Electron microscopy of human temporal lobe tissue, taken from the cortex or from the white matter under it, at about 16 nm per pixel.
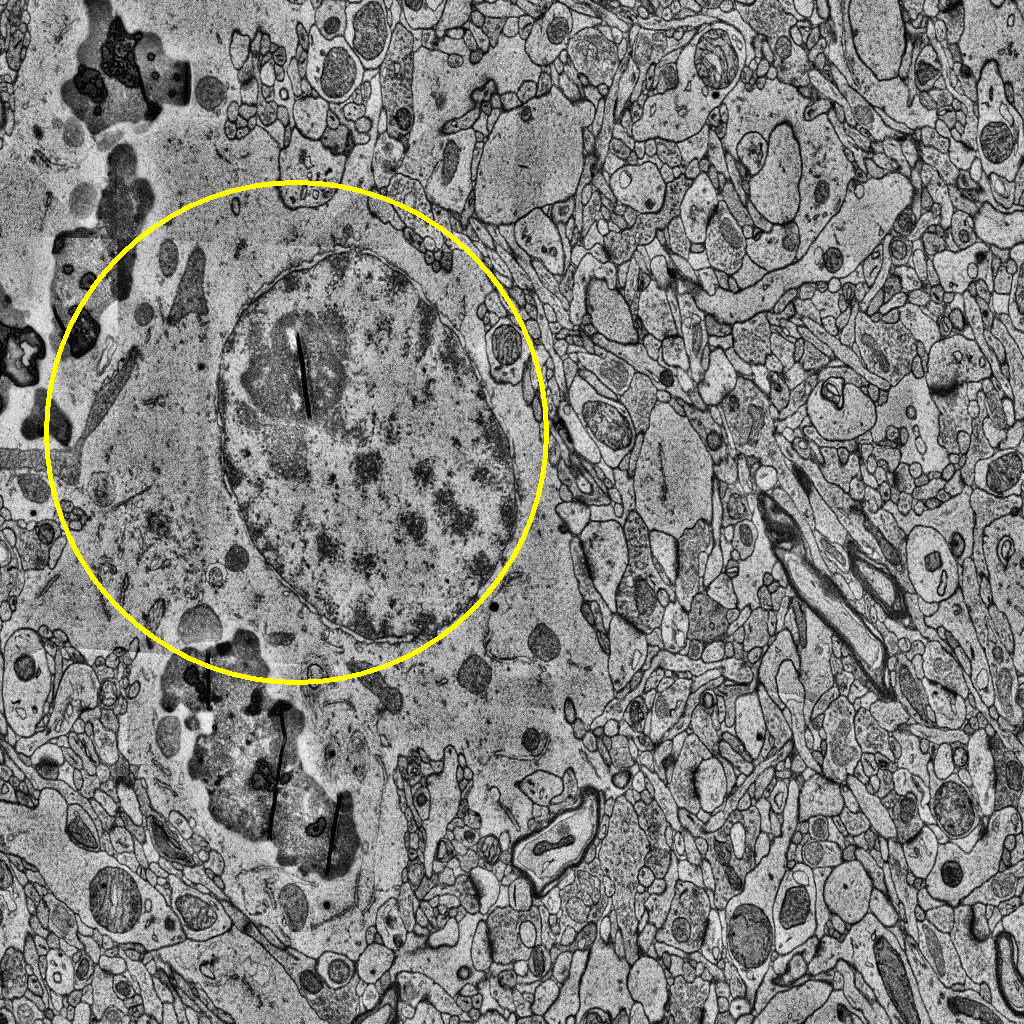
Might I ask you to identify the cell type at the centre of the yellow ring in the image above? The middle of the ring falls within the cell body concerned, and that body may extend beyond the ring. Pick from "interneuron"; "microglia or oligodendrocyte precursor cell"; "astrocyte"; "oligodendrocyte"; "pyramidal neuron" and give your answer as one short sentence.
The centre of the ring falls on an astrocyte.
